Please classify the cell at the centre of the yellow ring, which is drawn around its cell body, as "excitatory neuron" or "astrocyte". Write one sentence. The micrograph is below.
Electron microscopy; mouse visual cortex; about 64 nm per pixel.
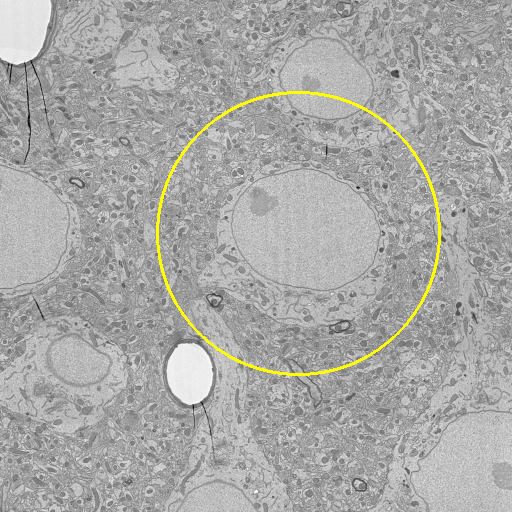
The cell at the ring's centre is classified as an excitatory neuron.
